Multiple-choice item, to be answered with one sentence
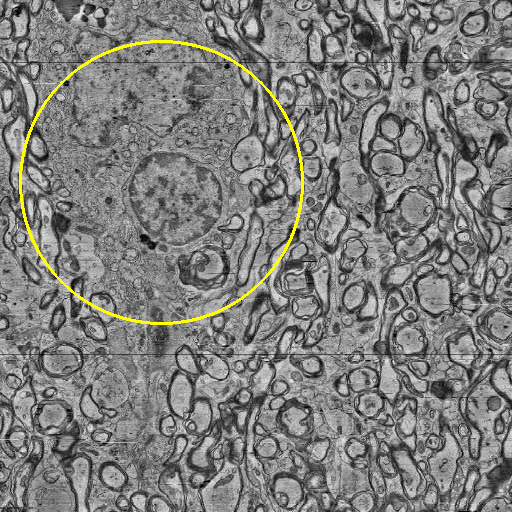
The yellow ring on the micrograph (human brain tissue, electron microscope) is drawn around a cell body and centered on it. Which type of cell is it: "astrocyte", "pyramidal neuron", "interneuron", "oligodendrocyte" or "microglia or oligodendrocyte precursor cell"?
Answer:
The ring is centered on an oligodendrocyte.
